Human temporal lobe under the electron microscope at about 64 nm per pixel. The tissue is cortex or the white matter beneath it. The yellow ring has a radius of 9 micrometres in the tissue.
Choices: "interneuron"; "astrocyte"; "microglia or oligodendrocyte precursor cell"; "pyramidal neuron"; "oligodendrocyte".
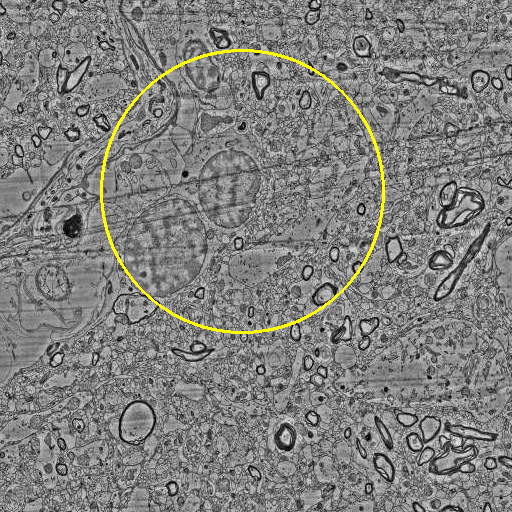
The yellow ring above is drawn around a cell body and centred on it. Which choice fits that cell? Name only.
oligodendrocyte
